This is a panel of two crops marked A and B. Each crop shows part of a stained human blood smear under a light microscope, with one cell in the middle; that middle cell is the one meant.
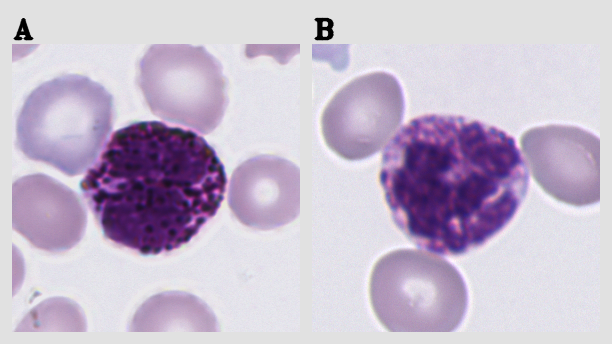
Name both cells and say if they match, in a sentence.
Yes, in the middle of both crops lie basophils.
